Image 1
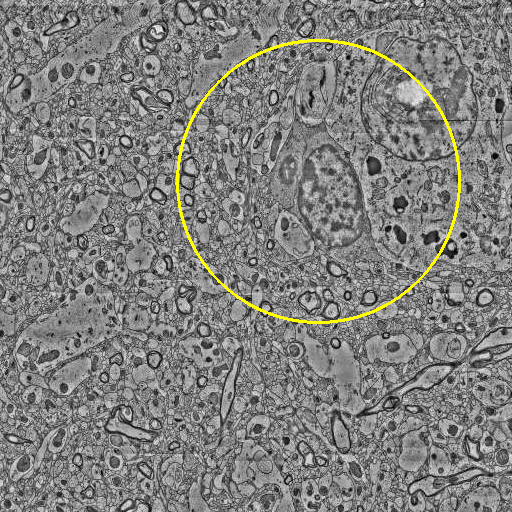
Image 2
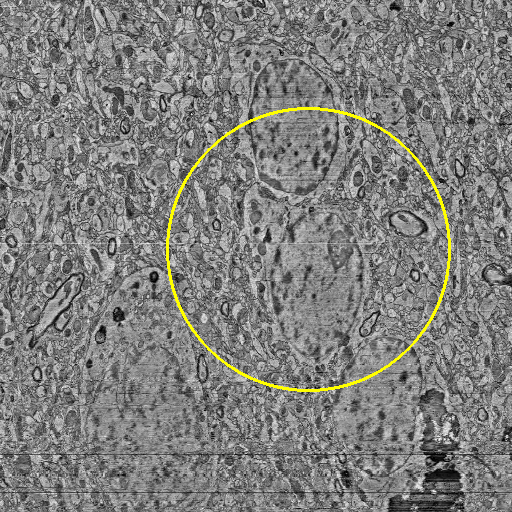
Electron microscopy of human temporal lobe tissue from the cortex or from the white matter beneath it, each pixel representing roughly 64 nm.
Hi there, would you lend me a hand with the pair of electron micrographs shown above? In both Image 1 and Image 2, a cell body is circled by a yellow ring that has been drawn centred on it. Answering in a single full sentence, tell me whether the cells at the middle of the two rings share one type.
No, the ringed cells in Image 1 and Image 2 belong to two types.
